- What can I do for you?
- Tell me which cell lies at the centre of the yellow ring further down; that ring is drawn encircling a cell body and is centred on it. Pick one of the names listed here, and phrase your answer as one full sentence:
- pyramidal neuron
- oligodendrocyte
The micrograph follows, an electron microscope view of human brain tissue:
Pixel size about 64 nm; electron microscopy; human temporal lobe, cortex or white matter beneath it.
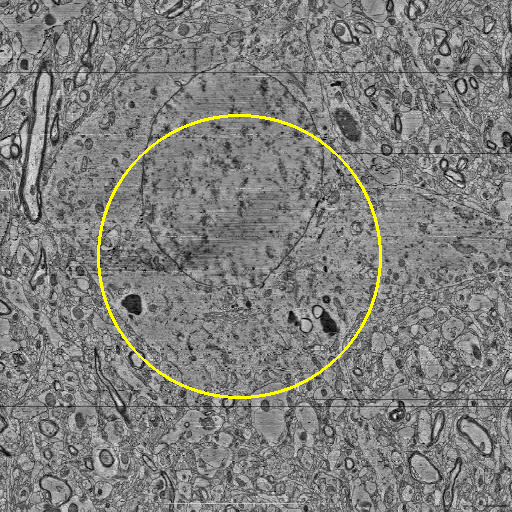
The cell whose body lies at the centre of the yellow ring is a pyramidal neuron.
